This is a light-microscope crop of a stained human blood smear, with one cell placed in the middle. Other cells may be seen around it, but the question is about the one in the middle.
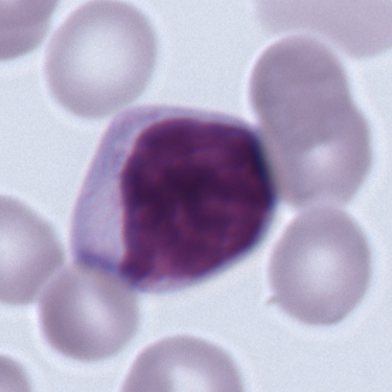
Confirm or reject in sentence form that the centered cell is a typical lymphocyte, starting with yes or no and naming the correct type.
No, a typical lymphocyte is not what the central cell is; it is a large granular lymphocyte.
